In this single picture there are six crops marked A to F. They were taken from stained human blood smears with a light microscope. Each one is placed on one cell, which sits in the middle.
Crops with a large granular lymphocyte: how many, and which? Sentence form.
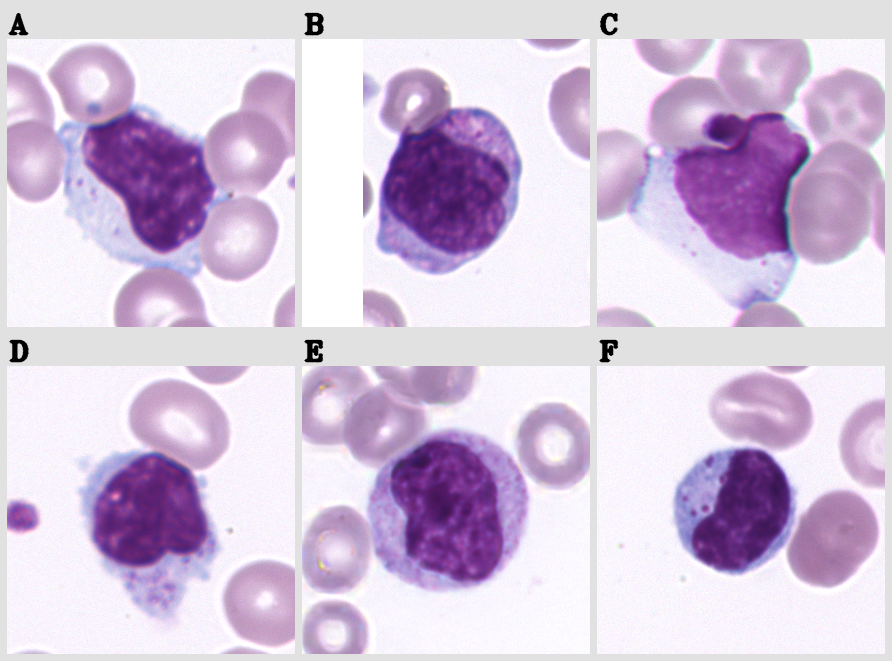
The large granular lymphocytes are represented in crops A, C, D and F, four crops altogether.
